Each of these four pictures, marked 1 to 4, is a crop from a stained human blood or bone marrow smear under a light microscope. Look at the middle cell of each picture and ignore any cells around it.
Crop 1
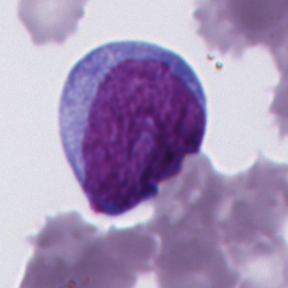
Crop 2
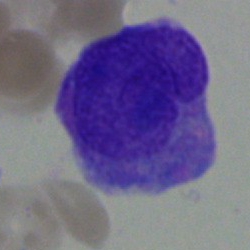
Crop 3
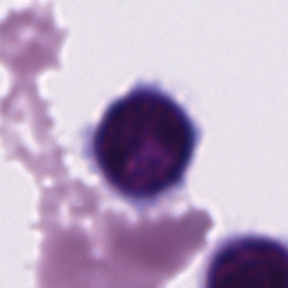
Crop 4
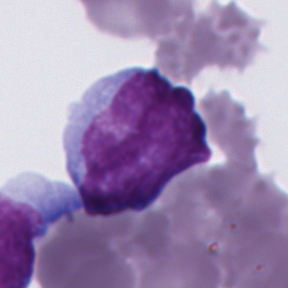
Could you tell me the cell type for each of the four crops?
1: blast
2: blast
3: hairy cell
4: blast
